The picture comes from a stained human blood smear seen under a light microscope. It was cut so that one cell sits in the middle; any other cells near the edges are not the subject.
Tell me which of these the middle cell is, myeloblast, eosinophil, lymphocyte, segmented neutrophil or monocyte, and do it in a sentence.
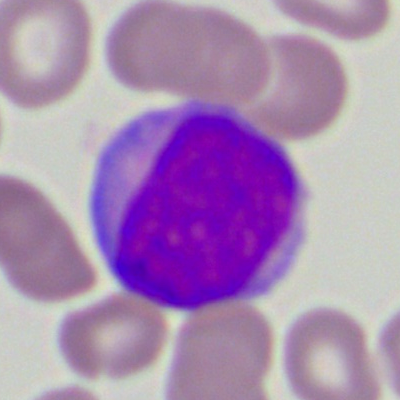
The middle cell in this particular crop is a myeloblast.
